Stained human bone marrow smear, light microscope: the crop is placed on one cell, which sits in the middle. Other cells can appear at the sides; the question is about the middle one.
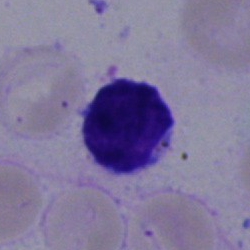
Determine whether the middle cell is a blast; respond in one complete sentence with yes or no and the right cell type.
No, the centre cell is not a blast but a lymphocyte.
